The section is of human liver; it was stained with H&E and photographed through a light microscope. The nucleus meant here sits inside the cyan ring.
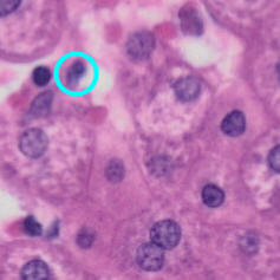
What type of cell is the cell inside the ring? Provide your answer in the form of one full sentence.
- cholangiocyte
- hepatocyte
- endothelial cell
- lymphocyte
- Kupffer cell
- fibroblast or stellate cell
As a matter of cell type, the cell inside the ring is a lymphocyte.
